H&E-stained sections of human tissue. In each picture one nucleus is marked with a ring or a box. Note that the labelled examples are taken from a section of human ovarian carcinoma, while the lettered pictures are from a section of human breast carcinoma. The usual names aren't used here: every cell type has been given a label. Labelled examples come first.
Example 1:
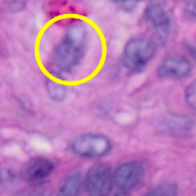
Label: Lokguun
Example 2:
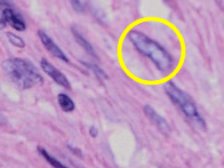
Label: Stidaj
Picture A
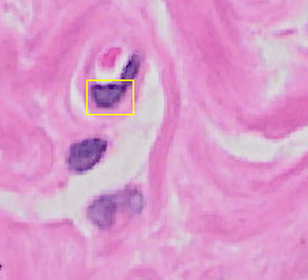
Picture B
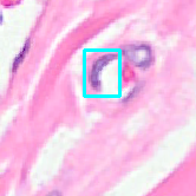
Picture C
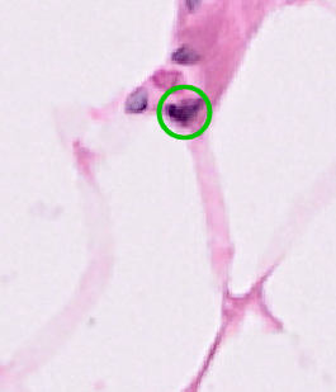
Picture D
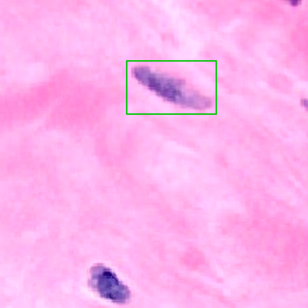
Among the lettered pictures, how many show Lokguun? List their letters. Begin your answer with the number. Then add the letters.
3: A, B, C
